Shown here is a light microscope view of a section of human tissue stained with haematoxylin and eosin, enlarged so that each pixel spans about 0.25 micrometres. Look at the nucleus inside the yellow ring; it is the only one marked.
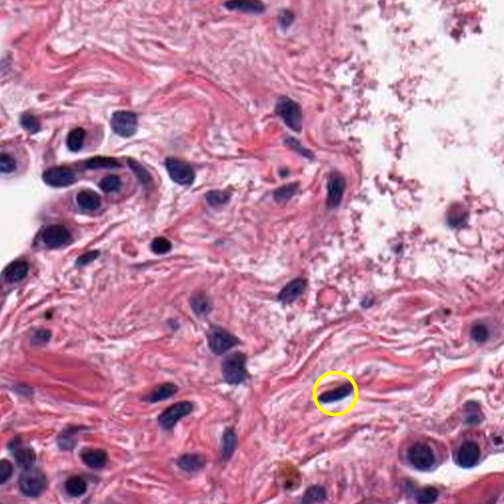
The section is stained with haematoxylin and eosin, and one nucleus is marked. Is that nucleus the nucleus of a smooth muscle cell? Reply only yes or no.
no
